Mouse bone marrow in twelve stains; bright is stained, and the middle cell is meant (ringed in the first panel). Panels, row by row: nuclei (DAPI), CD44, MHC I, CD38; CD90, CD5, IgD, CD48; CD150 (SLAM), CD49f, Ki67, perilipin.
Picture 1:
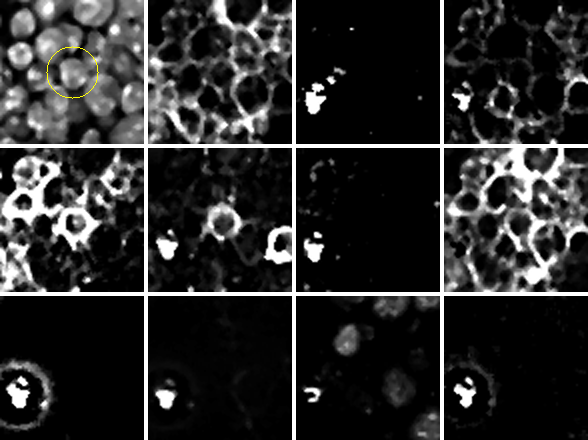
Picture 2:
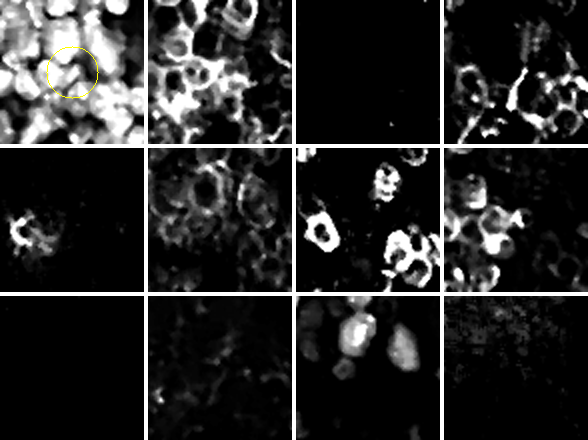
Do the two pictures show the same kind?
No: a T cell, then a monocyte.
